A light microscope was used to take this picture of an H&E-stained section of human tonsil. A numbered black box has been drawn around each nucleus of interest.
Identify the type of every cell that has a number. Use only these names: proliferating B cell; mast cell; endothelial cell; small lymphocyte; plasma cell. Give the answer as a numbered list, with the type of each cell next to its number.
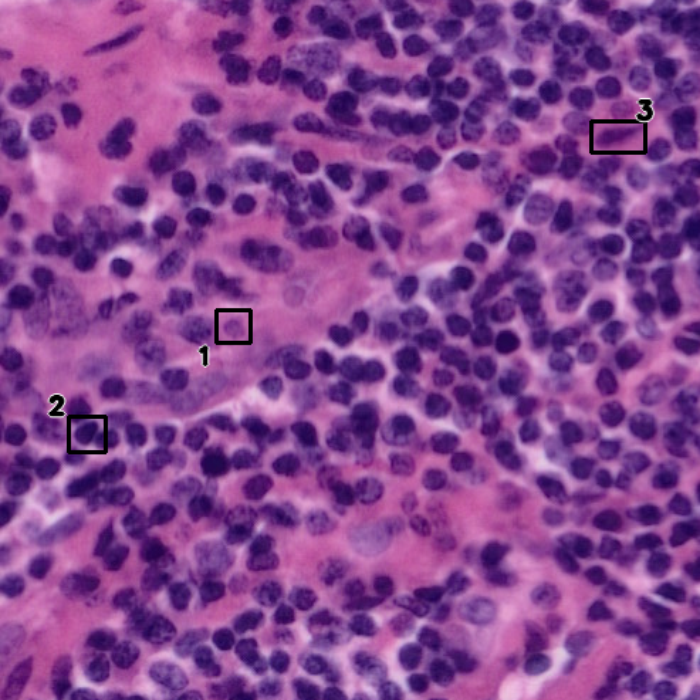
1. endothelial cell
2. small lymphocyte
3. endothelial cell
